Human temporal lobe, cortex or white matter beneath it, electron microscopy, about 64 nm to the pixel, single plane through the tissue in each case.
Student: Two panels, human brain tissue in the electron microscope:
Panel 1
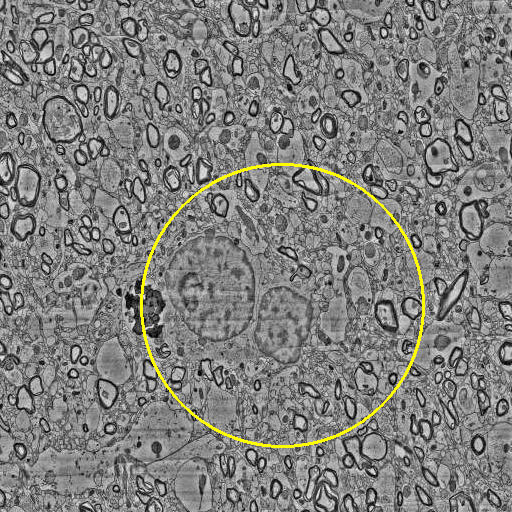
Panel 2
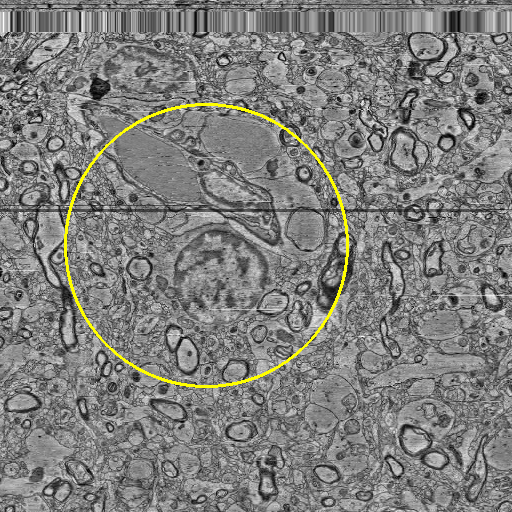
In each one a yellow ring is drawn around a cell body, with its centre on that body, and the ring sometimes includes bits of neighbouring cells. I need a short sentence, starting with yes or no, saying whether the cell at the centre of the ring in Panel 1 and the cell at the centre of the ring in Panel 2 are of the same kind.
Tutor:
Yes, they are the same kind of cell.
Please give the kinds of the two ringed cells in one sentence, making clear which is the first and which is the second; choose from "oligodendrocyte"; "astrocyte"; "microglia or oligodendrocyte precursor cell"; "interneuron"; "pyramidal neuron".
Each of the two rings surrounds an oligodendrocyte.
